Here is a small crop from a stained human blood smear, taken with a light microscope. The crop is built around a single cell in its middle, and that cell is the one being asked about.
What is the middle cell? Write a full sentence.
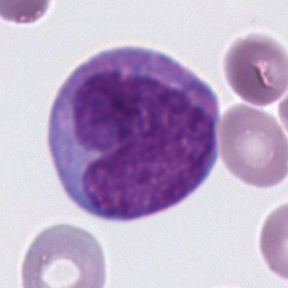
As for the cell in the middle, it is an atypical promyelocyte.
